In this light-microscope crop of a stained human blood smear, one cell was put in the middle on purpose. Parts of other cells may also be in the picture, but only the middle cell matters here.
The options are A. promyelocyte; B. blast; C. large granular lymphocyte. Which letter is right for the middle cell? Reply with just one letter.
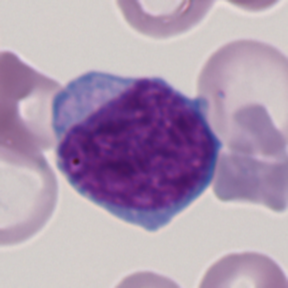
B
